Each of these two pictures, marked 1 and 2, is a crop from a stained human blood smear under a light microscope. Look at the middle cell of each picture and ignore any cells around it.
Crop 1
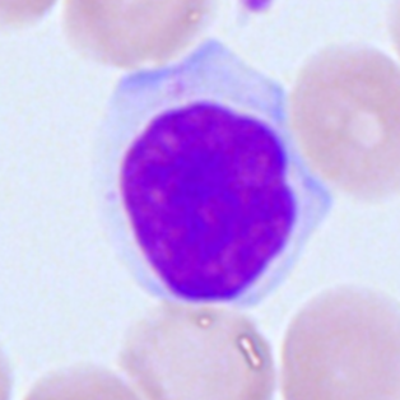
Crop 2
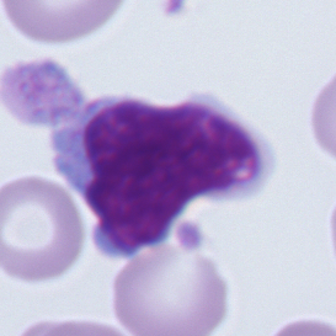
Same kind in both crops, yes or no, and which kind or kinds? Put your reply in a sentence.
Yes, both crops show lymphocytes in the centre of the field.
